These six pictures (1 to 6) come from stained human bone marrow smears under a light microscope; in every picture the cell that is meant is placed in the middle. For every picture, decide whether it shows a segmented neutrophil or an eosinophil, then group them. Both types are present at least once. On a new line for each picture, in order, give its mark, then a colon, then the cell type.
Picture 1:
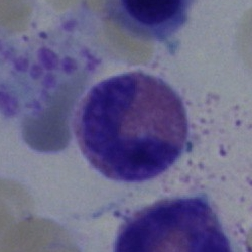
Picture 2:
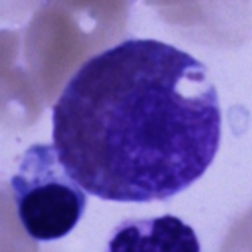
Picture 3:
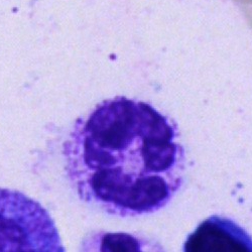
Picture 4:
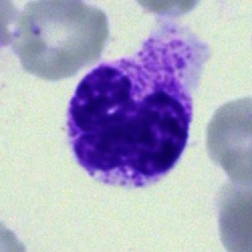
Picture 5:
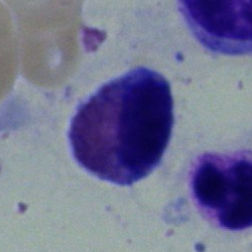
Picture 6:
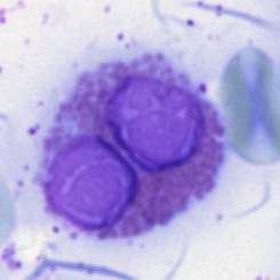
1: eosinophil
2: eosinophil
3: segmented neutrophil
4: segmented neutrophil
5: eosinophil
6: eosinophil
